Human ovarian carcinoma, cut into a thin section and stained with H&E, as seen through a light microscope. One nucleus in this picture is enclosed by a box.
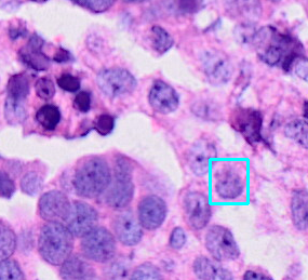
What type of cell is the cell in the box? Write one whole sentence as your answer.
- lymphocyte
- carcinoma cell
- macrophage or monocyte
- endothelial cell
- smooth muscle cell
In this tissue sample, the cell in the box is a macrophage or monocyte.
